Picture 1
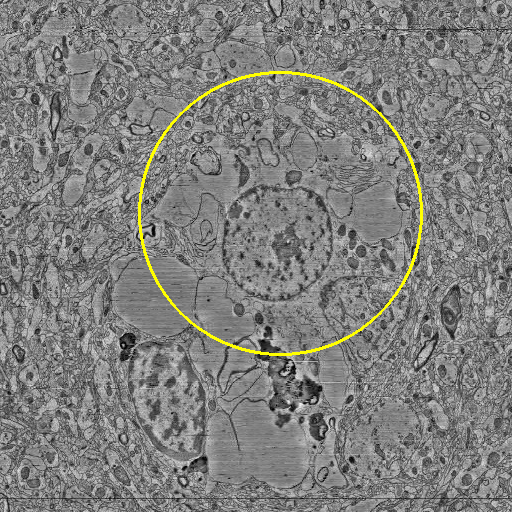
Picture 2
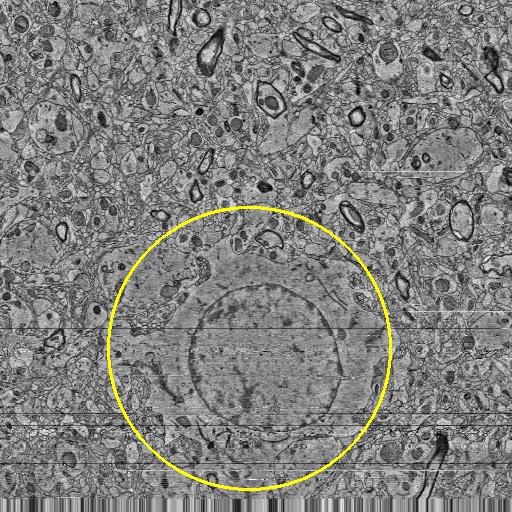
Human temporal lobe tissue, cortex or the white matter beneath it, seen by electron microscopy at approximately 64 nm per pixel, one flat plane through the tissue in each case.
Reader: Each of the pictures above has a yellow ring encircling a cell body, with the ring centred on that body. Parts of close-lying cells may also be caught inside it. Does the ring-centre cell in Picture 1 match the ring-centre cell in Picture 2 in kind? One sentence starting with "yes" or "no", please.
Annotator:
Yes, Picture 1 and Picture 2 show ring-centre cells of a single kind.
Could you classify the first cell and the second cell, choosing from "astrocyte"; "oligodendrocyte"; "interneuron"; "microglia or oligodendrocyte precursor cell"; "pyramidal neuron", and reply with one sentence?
Each of the two rings surrounds an astrocyte.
